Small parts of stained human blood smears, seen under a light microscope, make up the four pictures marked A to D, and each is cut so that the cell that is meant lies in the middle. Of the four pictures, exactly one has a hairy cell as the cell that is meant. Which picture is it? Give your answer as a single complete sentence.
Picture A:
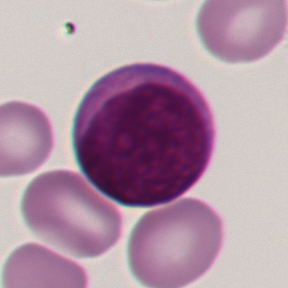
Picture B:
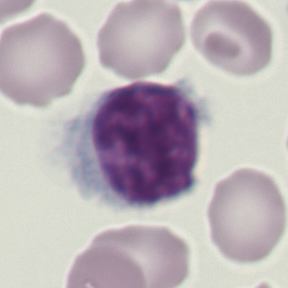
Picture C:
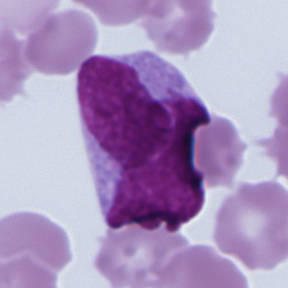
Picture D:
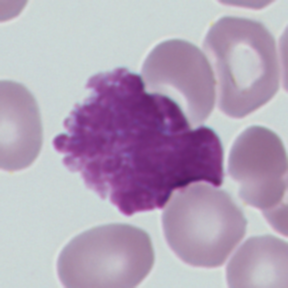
Picture B is the one that shows the hairy cell.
